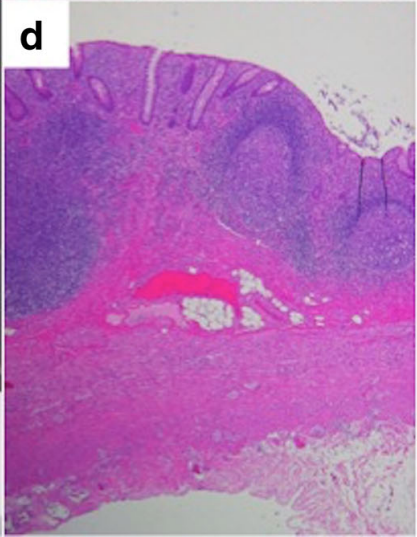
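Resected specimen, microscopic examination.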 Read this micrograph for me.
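This low-power section shows a bowel-type wall in layers. At the top is the mucosa, with tubular glands at its surface and large, dark purple lymphoid follicles beneath them. Below the mucosa lies a paler pink layer containing a small vessel filled with red blood cells and a few fat cells. Under that runs a broad band of pink muscle, which carries scattered small dark nuclei between its fibres. At the bottom edge, looser, paler tissue follows the muscle. Overall, dense clusters of small dark cells are most prominent in the upper layers.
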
